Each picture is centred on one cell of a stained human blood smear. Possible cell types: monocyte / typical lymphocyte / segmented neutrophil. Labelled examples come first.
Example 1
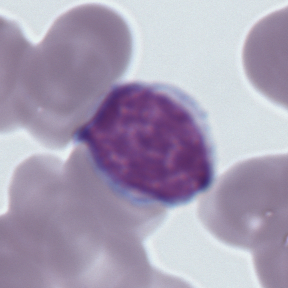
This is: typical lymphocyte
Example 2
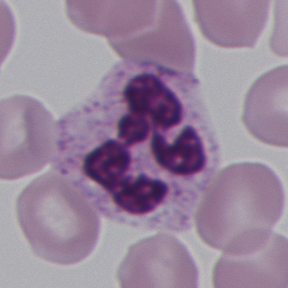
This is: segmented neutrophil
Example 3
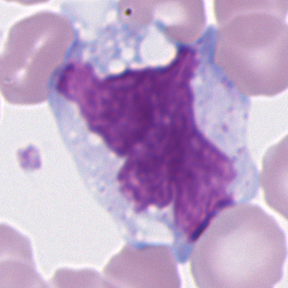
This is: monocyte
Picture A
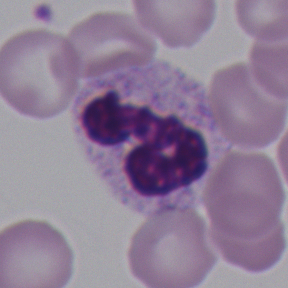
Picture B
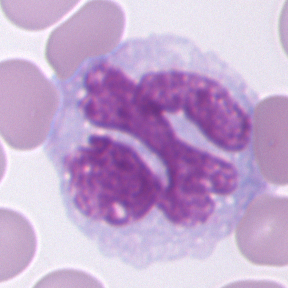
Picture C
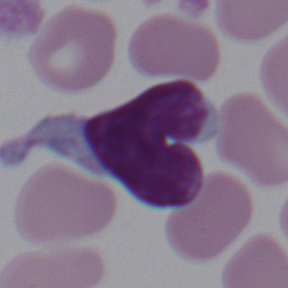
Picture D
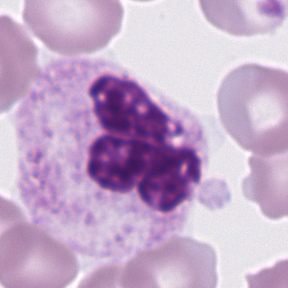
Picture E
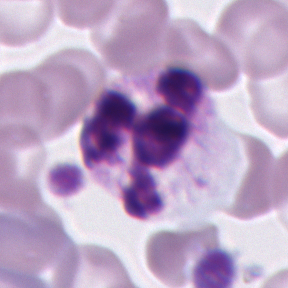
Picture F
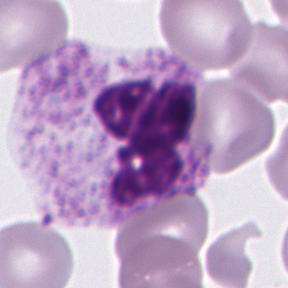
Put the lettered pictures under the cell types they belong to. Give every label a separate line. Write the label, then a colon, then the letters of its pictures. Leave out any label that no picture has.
monocyte: B
typical lymphocyte: C
segmented neutrophil: A, D, E, F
